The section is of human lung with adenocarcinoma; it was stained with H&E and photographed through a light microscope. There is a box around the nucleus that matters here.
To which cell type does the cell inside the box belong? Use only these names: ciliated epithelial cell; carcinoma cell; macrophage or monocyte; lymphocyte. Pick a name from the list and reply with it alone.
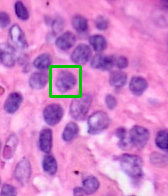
lymphocyte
